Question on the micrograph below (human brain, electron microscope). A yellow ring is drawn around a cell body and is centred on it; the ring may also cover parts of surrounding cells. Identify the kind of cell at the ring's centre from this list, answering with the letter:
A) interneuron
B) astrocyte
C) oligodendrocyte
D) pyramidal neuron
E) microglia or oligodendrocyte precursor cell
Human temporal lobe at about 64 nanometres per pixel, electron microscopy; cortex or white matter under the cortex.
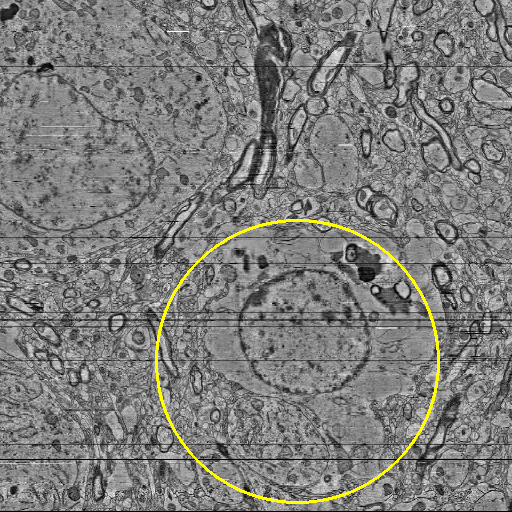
B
